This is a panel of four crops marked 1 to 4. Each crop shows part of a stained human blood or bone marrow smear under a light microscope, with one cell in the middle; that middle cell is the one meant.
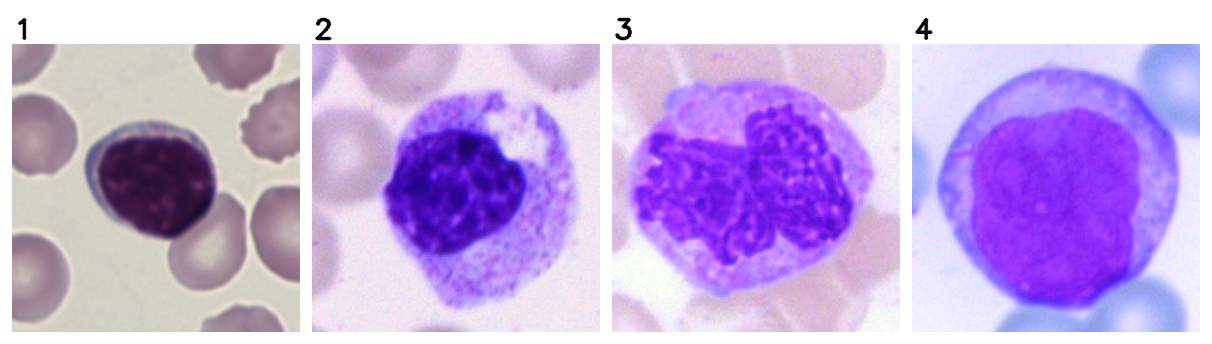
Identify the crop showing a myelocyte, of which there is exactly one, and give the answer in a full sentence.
The crop that has a myelocyte in the middle is crop 2.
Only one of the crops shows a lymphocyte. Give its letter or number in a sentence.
Crop 1 is where a lymphocyte is to be found.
